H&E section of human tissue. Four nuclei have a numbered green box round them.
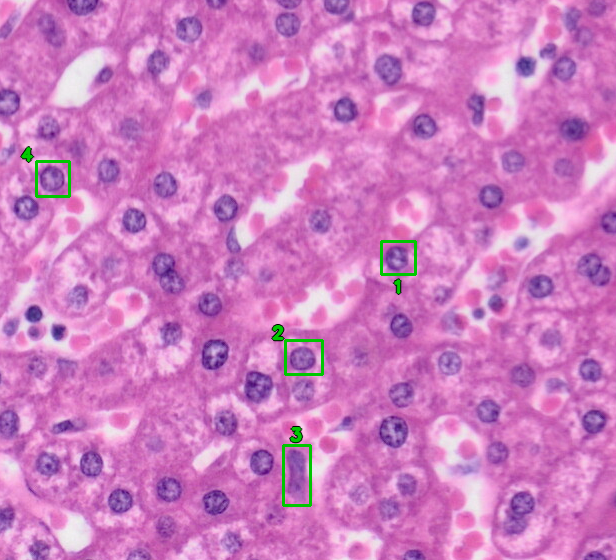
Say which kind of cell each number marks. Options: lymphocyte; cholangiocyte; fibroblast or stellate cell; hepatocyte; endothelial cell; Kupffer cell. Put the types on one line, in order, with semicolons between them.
hepatocyte; hepatocyte; Kupffer cell; hepatocyte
